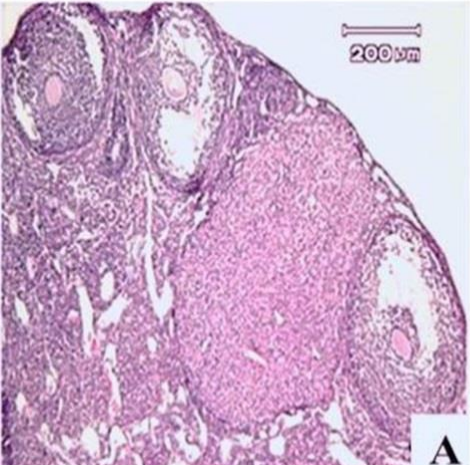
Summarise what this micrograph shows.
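This section of ovarian tissue shows several follicles lying near the surface beneath a thin capsule, each with a single large, round, pink oocyte. The oocytes are surrounded by many layers of small, densely packed purple-staining cells, and some follicles contain pale fluid-filled cavities beside the oocyte. A large rounded mass of pale pink cells lies in the middle of the section between the follicles. The surrounding stroma is cellular and crossed by small vessels.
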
